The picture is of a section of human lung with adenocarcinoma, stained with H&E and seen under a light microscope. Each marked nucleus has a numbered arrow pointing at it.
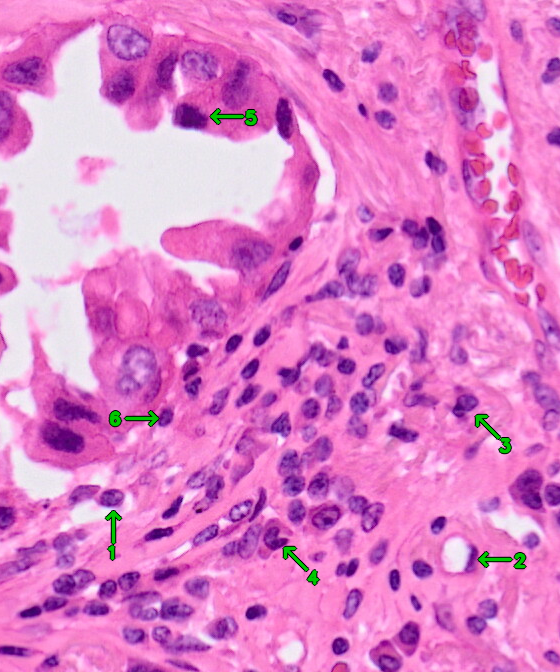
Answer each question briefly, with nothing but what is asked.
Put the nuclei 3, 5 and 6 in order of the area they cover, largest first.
5, 3, 6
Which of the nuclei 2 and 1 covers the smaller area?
2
